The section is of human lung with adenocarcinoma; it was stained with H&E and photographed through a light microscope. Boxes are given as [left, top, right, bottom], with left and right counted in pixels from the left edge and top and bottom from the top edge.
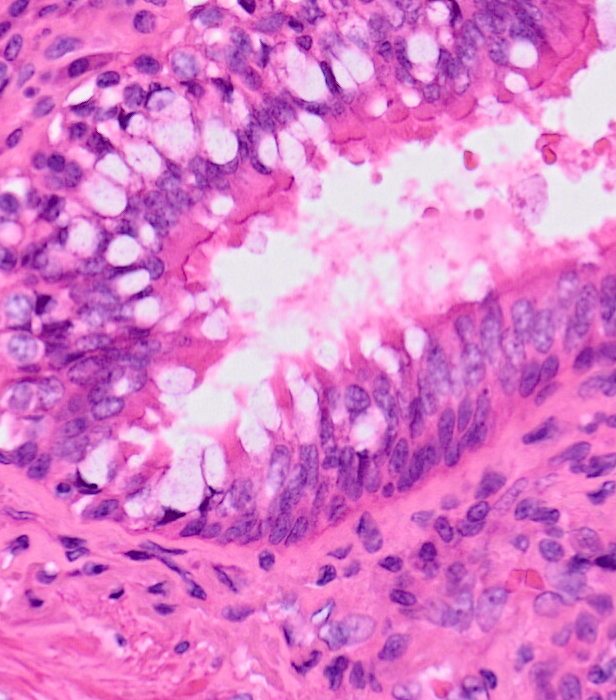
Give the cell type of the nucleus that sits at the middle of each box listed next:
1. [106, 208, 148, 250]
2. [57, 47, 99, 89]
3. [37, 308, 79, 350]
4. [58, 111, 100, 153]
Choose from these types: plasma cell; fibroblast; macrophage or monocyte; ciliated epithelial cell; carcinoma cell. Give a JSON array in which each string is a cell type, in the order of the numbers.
["ciliated epithelial cell", "plasma cell", "ciliated epithelial cell", "ciliated epithelial cell"]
